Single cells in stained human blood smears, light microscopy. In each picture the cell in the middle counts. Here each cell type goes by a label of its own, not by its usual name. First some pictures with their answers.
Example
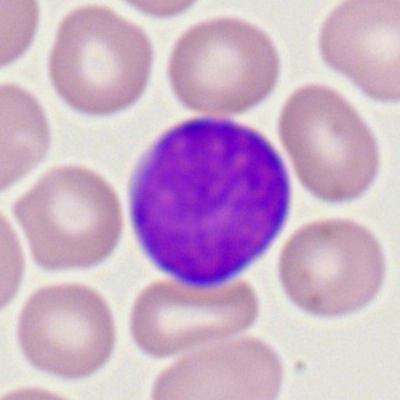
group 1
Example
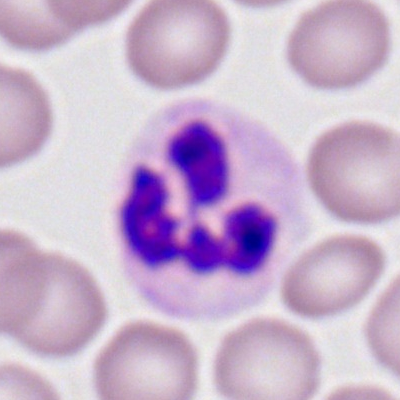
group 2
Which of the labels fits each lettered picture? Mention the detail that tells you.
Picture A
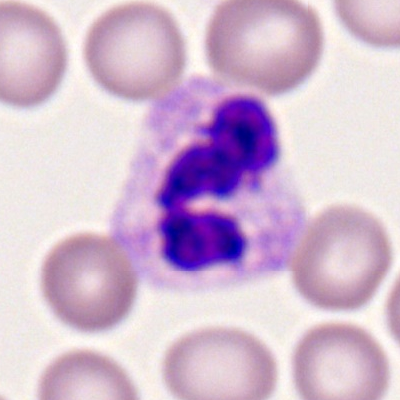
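group 2. The cytoplasm is abundant and pale pinkish-lilac.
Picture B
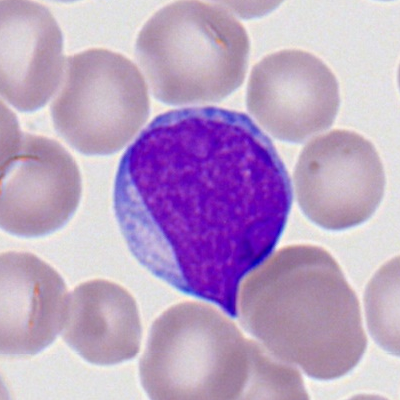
group 1. The nucleus fills most of the cell.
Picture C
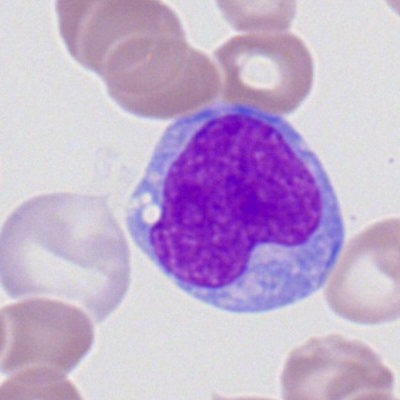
group 1. The nucleus fills most of the cell.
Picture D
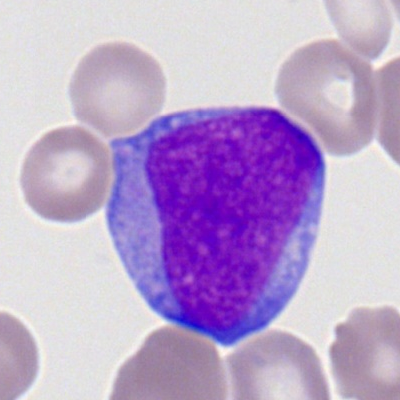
group 1. The nucleus is a single unlobed mass that fills most of the cell.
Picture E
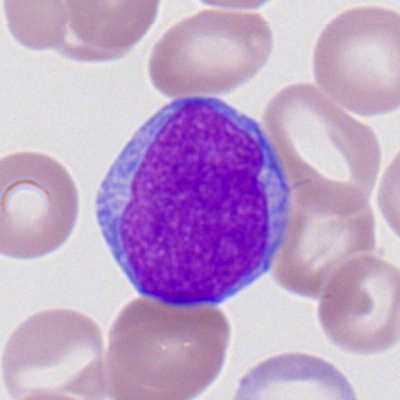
group 1. The nucleus fills most of the cell.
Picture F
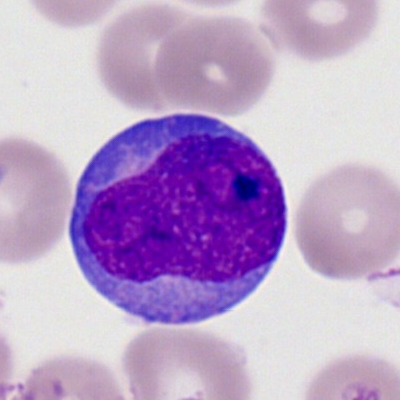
group 1. The cytoplasm is deep blue.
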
